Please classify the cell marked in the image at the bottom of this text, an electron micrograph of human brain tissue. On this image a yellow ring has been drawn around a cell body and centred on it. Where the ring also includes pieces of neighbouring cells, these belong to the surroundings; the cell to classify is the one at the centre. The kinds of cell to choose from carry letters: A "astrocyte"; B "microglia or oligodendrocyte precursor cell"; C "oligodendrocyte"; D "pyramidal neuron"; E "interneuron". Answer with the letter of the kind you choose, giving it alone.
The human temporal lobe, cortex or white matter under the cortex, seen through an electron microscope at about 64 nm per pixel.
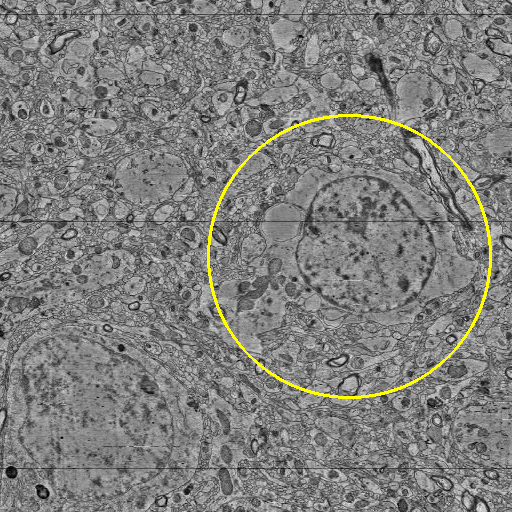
A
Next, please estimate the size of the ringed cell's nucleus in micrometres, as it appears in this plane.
In this plane the nucleus measures roughly 9 micrometres across.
